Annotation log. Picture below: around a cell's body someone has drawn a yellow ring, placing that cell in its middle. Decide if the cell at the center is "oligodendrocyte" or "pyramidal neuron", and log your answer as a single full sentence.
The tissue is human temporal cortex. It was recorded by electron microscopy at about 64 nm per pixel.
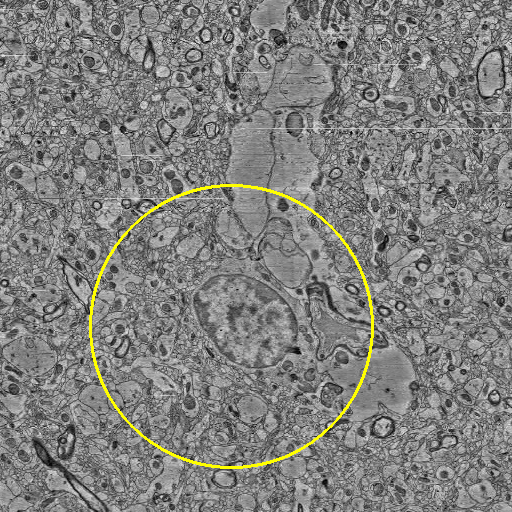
My entry records an oligodendrocyte as the cell sitting at the center of the yellow ring.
